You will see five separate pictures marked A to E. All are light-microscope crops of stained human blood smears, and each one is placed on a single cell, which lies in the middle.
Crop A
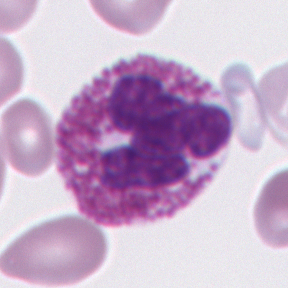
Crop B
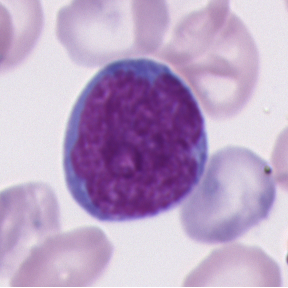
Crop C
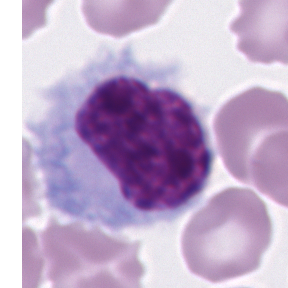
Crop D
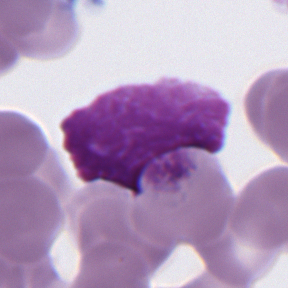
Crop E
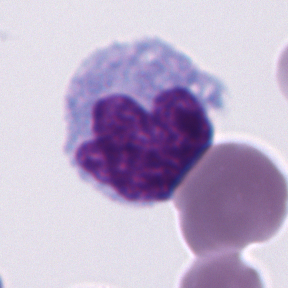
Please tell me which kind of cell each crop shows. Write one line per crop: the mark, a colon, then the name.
A: eosinophil
B: myeloblast
C: hairy cell
D: smudge cell
E: monocyte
